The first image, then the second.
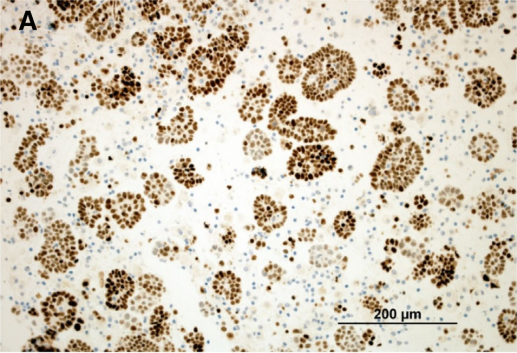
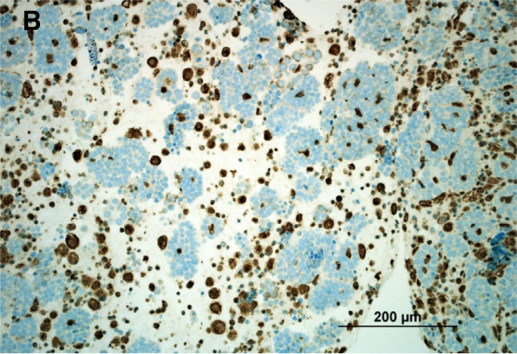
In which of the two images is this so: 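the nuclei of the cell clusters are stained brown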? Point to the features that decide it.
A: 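The first image. First image: the nuclei within the cell clusters are stained brown.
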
